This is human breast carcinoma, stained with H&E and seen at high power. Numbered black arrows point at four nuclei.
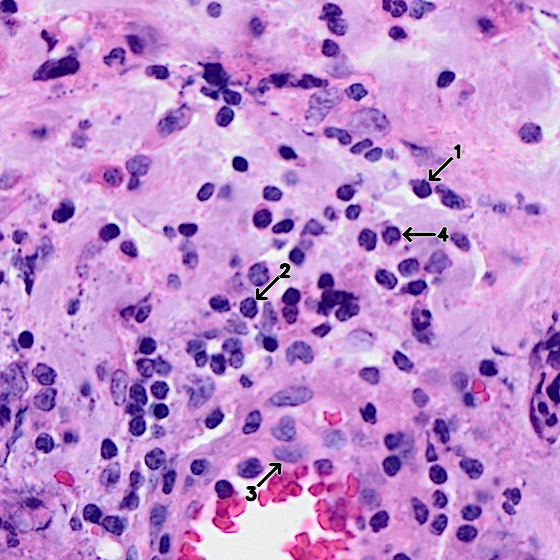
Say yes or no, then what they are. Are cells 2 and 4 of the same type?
Yes, that is correct, cells 2 and 4 are both lymphocytes.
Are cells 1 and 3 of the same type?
No, an endothelial cell is what cell 3 is, while cell 1 is a lymphocyte.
